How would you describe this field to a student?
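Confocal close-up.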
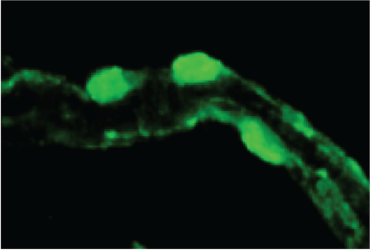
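The vessel runs as a narrow, faintly outlined tube across the field. A few rounded, bright cell bodies sit on its outer wall, bulging out from it and spaced apart from each other. Between them only faint, thin processes follow the vessel, so much of the wall is left uncovered, unlike the dense coat on an arteriole.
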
